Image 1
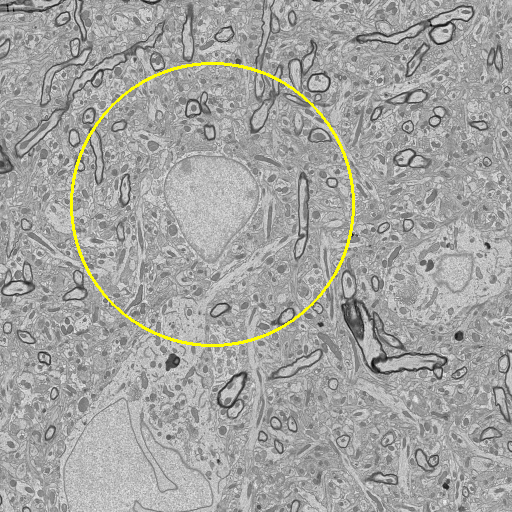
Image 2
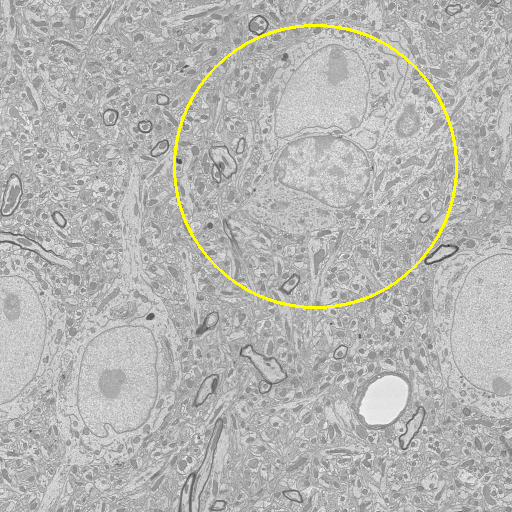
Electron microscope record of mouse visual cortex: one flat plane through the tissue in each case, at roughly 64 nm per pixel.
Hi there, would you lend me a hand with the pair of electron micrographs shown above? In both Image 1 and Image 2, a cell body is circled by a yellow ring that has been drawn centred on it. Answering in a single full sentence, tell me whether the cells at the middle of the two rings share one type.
No, the ringed cells in Image 1 and Image 2 belong to two types.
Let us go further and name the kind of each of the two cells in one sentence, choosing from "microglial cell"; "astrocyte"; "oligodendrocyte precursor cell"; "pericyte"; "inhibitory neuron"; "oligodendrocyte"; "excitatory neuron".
The ring of the first picture is on an astrocyte, the ring of the second on an oligodendrocyte.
